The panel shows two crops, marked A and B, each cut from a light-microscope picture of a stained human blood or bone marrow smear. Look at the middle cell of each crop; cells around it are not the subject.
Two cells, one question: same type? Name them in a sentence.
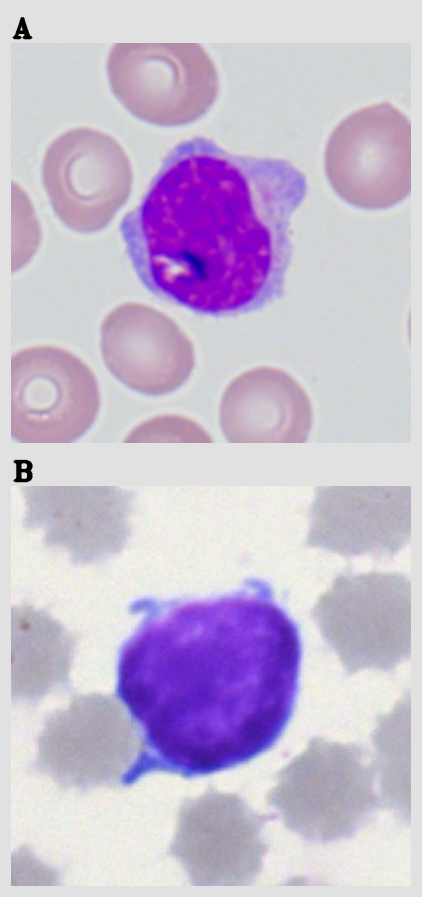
Yes, it is lymphocytes that occupy the middle of both crops.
